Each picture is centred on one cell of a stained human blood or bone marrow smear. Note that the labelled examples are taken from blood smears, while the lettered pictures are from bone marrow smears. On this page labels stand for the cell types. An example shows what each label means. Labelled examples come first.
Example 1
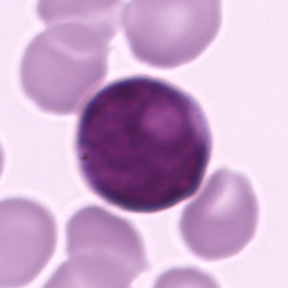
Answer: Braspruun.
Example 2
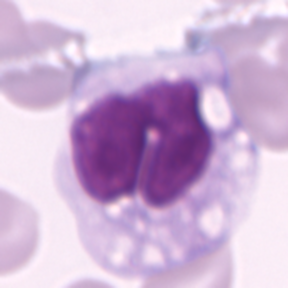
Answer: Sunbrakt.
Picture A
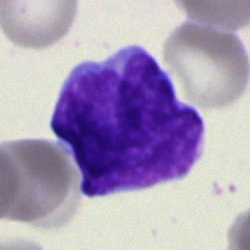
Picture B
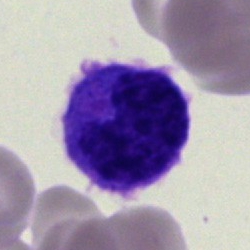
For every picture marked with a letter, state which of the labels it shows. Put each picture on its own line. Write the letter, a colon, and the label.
A: Braspruun.
B: Sunbrakt.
